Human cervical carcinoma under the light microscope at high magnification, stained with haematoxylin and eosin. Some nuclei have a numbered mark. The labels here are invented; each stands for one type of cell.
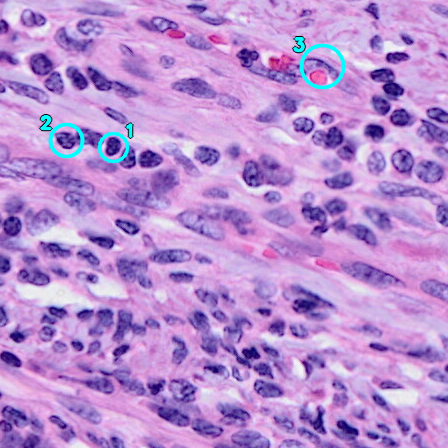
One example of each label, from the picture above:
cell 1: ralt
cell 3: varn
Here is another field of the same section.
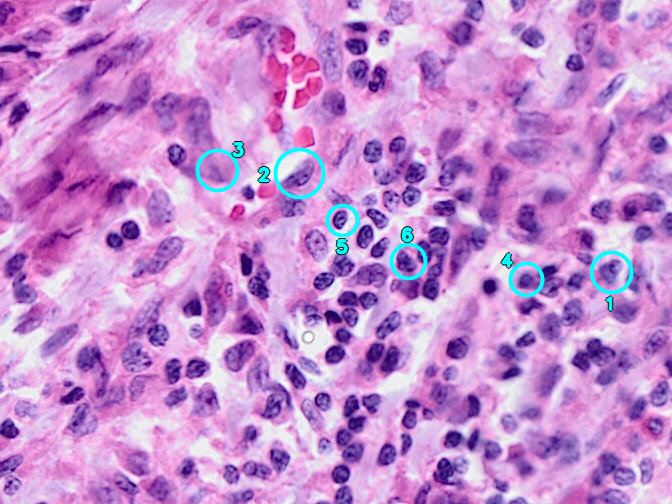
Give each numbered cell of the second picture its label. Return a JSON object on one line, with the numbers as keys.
{"1": "ralt", "2": "varn", "3": "varn", "4": "ralt", "5": "ralt", "6": "ralt"}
